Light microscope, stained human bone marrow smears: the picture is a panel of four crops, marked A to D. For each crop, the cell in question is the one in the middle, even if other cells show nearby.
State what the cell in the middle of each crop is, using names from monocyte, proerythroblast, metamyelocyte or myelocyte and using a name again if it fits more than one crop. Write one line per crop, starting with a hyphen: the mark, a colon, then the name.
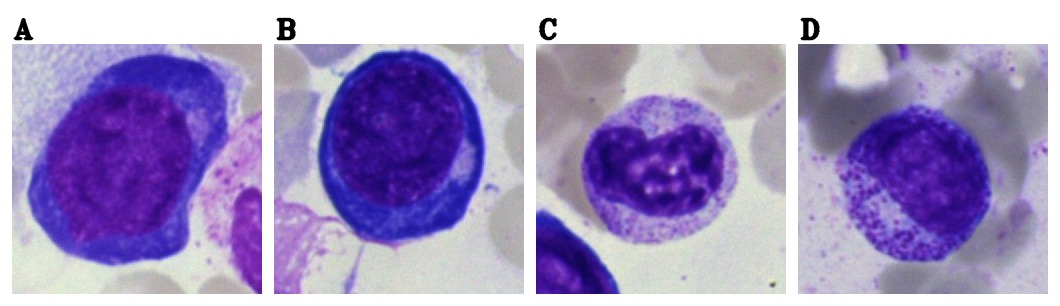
- A: proerythroblast
- B: proerythroblast
- C: metamyelocyte
- D: myelocyte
